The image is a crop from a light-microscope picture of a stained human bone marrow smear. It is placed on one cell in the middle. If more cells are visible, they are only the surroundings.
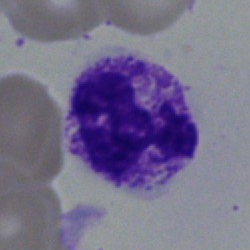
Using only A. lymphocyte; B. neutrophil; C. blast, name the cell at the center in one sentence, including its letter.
Option B is the right choice, the central cell being a neutrophil.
